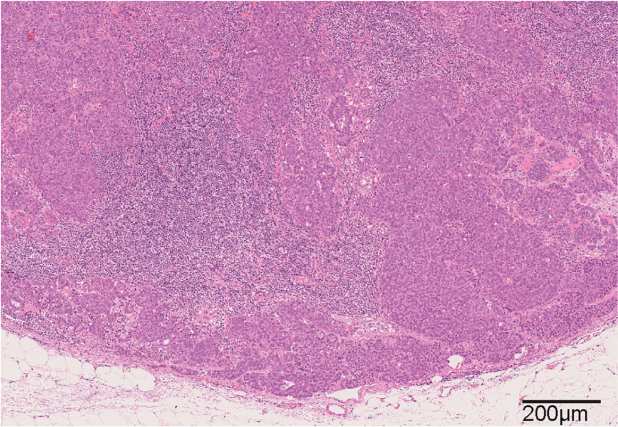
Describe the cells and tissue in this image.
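This is a lymph node largely taken over by tumour cells, which lie directly beside the native lymphoid cells. The tumour forms broad, solid sheets of cells with more pink cytoplasm, while the lymphoid areas are made of densely packed small cells with dark blue nuclei. The two populations meet without any intervening band of fibrous tissue. A thin capsule and surrounding fat are seen along the lower edge.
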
